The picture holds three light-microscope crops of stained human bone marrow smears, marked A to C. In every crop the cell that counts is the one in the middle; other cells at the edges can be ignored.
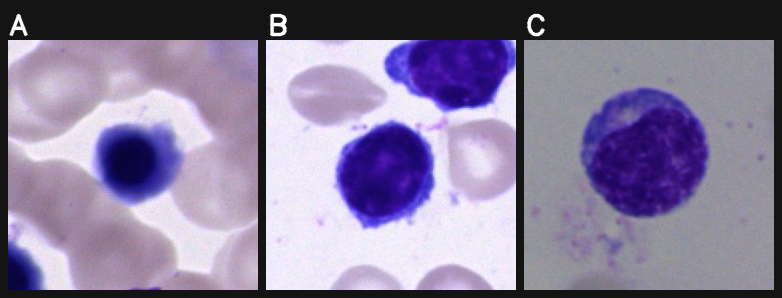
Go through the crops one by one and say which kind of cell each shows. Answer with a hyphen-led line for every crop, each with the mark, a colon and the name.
- A: erythroblast
- B: lymphocyte
- C: blast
